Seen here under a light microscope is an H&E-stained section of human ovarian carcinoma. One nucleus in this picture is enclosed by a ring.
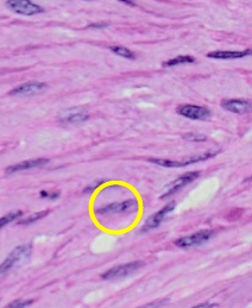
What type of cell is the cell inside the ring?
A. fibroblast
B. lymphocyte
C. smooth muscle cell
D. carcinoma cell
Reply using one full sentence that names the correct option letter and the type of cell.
It is as option A has it, the cell inside the ring being a fibroblast.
